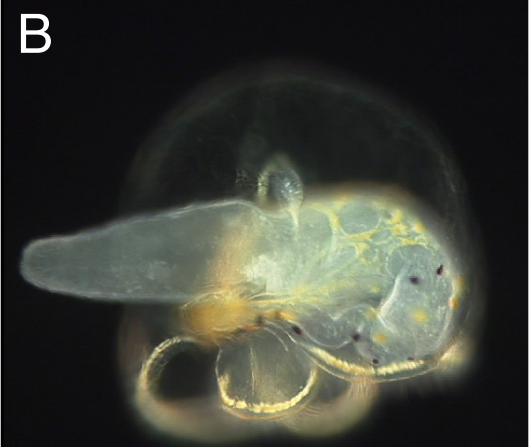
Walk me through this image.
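A juvenile worm is breaking out of a pilidium larva, its elongated, translucent head projecting to the left beyond the larval body. The rest of the juvenile remains as a pale mass with black dots and yellowish granules within the transparent bell of the larva. Bright golden ciliated bands still loop along the lower larval lobes.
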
